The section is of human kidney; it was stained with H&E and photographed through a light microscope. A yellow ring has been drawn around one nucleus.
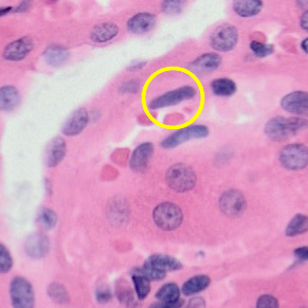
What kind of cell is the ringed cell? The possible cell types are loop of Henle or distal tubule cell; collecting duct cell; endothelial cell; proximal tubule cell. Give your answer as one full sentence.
The ringed cell is an endothelial cell.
